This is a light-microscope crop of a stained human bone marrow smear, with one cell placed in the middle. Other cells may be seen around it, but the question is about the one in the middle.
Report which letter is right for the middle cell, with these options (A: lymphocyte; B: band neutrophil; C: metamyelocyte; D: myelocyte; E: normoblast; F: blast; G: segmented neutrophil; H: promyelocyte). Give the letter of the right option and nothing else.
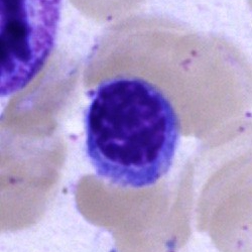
E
